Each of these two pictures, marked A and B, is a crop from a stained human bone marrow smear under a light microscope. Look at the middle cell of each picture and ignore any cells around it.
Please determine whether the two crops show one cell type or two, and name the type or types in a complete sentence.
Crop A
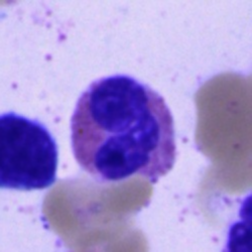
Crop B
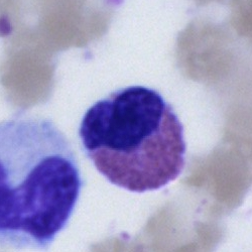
Yes, the first and the second crop both show eosinophils.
